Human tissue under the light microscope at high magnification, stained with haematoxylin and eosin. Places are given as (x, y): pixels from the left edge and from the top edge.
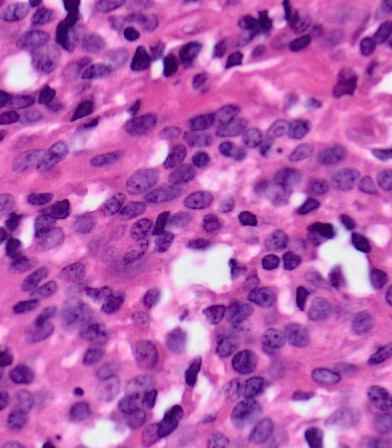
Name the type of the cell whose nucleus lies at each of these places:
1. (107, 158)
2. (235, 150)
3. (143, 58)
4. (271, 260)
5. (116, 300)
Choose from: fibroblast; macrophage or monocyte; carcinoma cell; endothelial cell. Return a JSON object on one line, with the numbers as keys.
{"1": "endothelial cell", "2": "macrophage or monocyte", "3": "carcinoma cell", "4": "macrophage or monocyte", "5": "carcinoma cell"}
